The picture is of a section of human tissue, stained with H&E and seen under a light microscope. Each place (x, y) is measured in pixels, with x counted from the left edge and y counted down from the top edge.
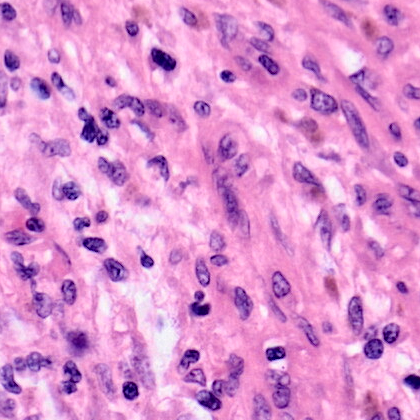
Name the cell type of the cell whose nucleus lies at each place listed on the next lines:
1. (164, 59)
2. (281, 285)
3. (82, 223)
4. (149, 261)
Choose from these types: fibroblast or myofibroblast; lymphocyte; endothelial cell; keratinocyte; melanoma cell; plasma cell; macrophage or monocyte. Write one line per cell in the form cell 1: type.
cell 1: plasma cell
cell 2: endothelial cell
cell 3: lymphocyte
cell 4: lymphocyte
